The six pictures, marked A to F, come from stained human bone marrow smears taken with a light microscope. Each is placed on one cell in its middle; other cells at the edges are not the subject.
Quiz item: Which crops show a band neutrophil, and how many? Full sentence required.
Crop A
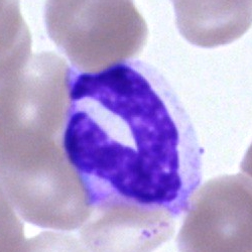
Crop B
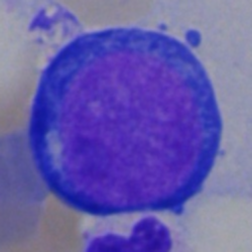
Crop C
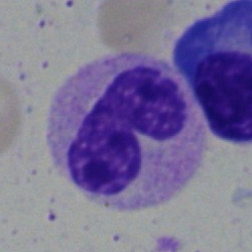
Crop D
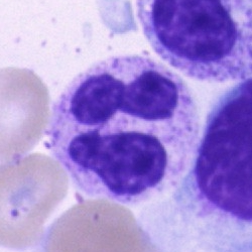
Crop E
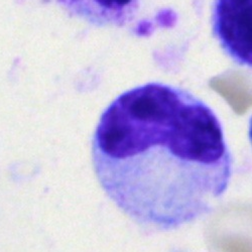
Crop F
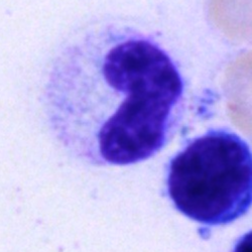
The crops depicting band neutrophils, four in total, are A, C, E and F.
